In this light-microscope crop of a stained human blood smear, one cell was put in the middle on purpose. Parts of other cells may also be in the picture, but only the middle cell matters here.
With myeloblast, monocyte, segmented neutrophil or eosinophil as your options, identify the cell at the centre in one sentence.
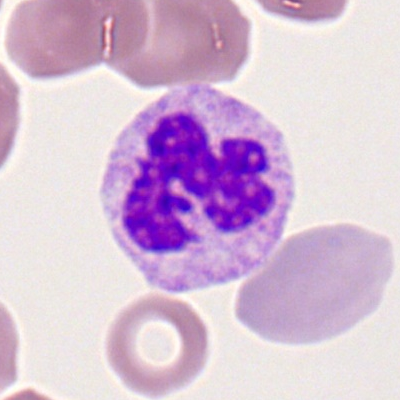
The cell occupying the middle of the crop is a segmented neutrophil.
